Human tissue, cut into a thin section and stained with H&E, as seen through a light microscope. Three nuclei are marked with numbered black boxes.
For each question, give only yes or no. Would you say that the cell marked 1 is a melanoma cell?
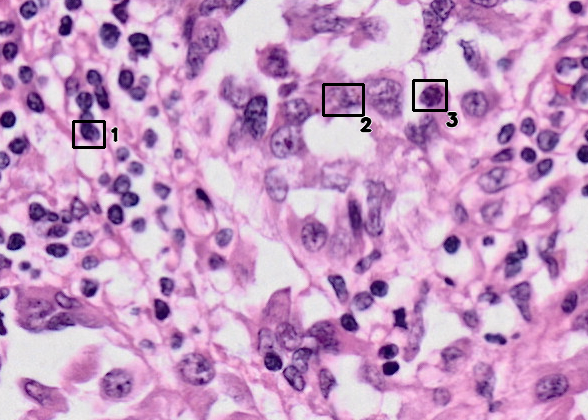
no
